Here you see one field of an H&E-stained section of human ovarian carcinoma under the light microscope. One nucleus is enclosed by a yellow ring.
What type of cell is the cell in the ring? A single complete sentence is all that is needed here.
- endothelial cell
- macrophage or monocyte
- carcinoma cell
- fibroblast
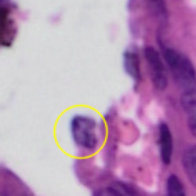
Placed in its cell category, the cell in the ring is a macrophage or monocyte.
